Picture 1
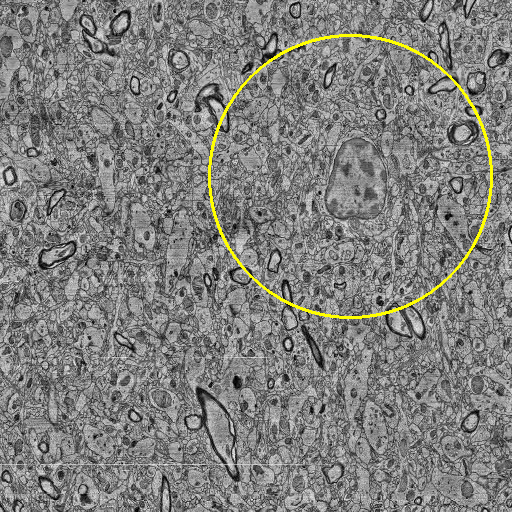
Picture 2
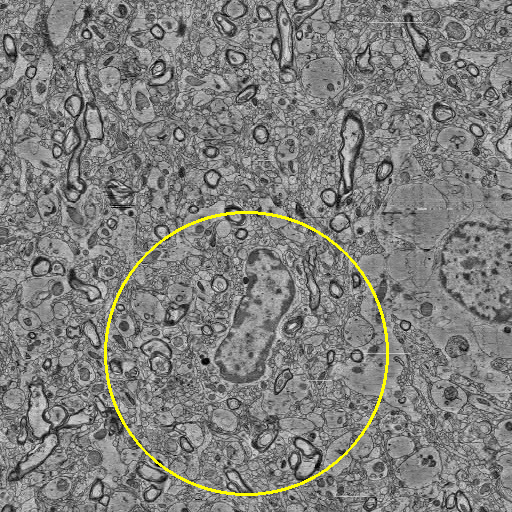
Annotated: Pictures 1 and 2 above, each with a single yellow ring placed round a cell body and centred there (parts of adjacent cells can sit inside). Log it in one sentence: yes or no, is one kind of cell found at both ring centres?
Yes, the ring centres of the two pictures hold cells of one kind.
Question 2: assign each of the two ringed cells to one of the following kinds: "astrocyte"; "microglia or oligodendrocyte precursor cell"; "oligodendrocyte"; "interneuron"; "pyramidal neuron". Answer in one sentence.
The second cell is a microglial cell or oligodendrocyte precursor cell, just as the first is.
